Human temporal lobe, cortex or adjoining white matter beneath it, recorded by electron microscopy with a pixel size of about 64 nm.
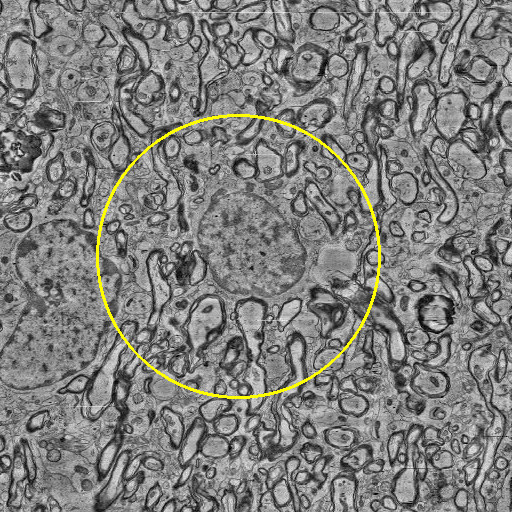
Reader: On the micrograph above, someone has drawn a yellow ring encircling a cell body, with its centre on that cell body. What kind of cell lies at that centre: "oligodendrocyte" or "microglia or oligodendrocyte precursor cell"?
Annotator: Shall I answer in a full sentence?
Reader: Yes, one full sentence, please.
Here an oligodendrocyte sits at the centre of the yellow ring drawn on the micrograph.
